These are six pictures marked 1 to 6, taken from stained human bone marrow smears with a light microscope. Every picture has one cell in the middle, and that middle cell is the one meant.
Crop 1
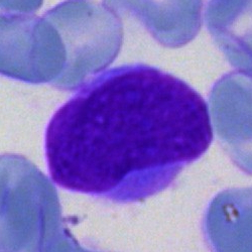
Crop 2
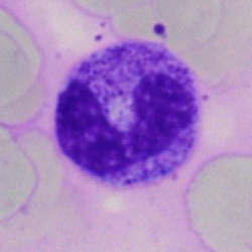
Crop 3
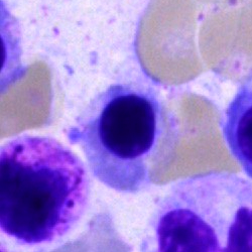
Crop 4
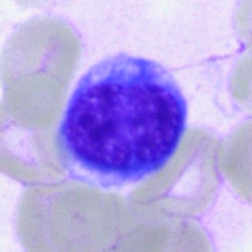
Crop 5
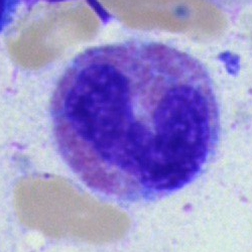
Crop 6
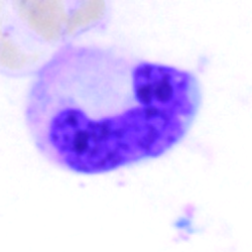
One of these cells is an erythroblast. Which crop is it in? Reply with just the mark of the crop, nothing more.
3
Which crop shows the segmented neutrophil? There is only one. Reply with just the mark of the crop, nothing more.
6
